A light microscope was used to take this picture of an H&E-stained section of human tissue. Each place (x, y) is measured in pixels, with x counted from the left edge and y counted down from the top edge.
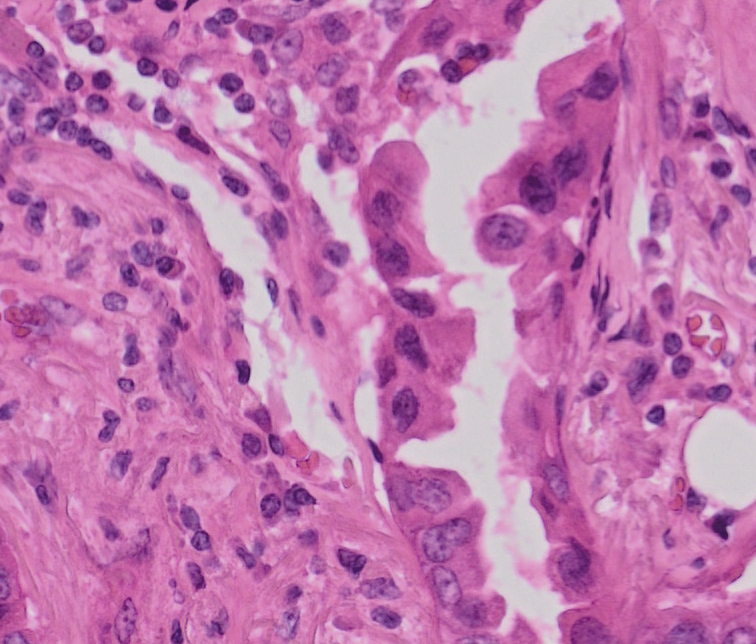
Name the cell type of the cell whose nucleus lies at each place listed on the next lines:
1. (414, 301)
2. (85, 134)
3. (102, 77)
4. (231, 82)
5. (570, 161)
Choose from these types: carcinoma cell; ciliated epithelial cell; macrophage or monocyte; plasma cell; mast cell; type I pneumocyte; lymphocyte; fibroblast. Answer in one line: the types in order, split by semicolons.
carcinoma cell; lymphocyte; lymphocyte; lymphocyte; carcinoma cell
